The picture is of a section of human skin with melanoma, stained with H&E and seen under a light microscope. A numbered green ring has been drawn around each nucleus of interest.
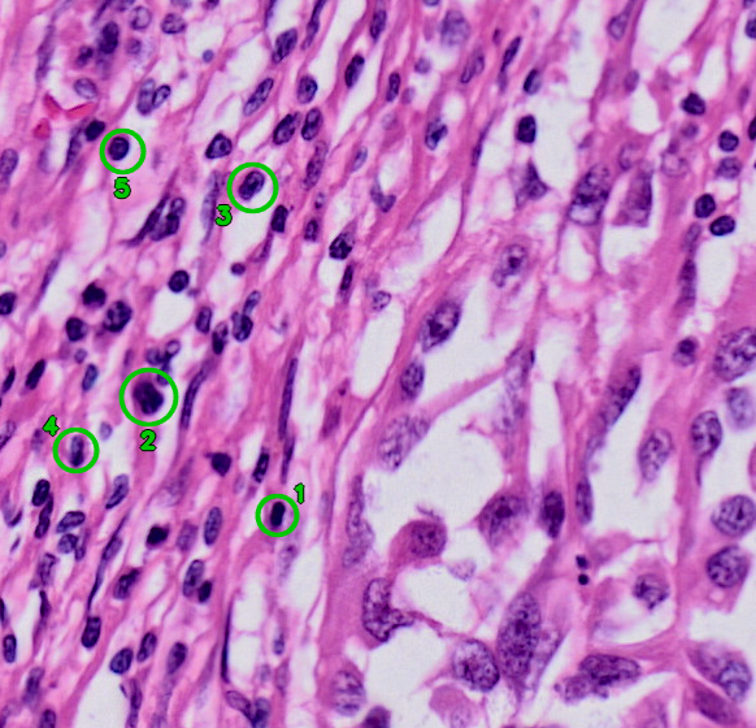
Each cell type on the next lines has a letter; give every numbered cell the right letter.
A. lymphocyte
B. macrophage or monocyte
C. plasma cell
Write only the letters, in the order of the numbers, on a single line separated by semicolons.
C; C; A; A; A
